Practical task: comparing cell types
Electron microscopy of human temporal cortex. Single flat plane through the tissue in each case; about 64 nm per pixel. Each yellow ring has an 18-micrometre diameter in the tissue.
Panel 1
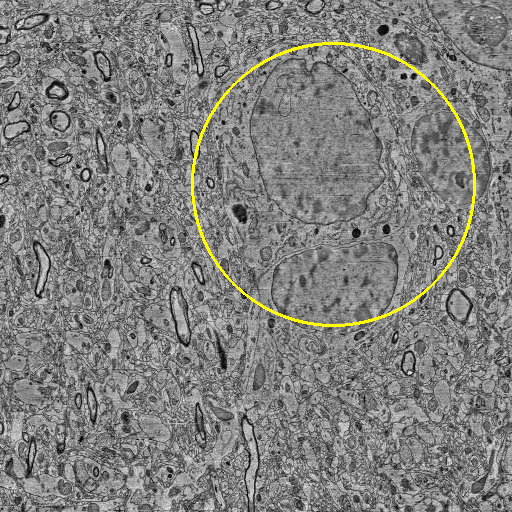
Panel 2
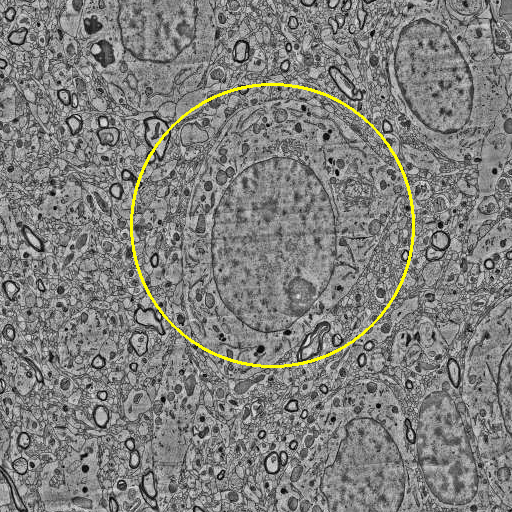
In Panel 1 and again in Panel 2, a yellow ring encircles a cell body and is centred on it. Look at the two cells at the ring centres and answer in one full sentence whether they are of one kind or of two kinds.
The two cells sitting at the ring centres of Panels 1 and 2 are of two kinds.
